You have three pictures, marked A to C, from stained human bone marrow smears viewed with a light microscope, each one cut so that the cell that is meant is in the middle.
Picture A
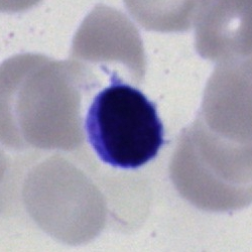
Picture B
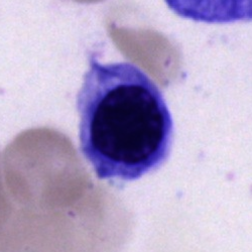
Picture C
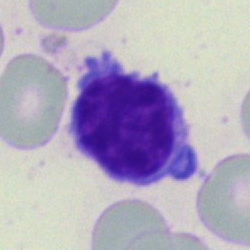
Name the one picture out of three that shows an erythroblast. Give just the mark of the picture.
B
